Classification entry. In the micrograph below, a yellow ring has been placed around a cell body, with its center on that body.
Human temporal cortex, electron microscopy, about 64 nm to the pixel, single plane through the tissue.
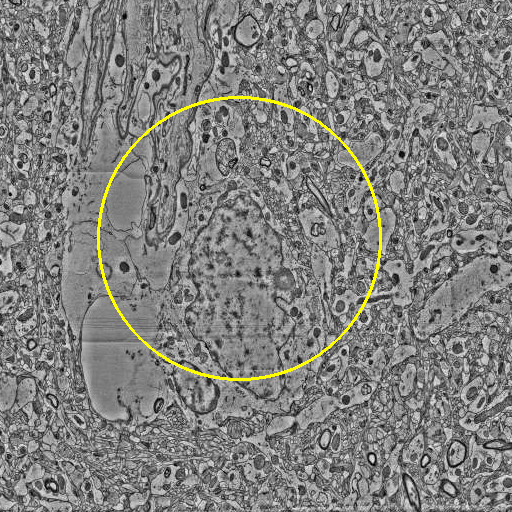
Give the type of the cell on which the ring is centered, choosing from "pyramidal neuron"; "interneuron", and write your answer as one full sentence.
The cell body at the center of the yellow ring belongs to an interneuron.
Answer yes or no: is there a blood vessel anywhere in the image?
Yes, there is one.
